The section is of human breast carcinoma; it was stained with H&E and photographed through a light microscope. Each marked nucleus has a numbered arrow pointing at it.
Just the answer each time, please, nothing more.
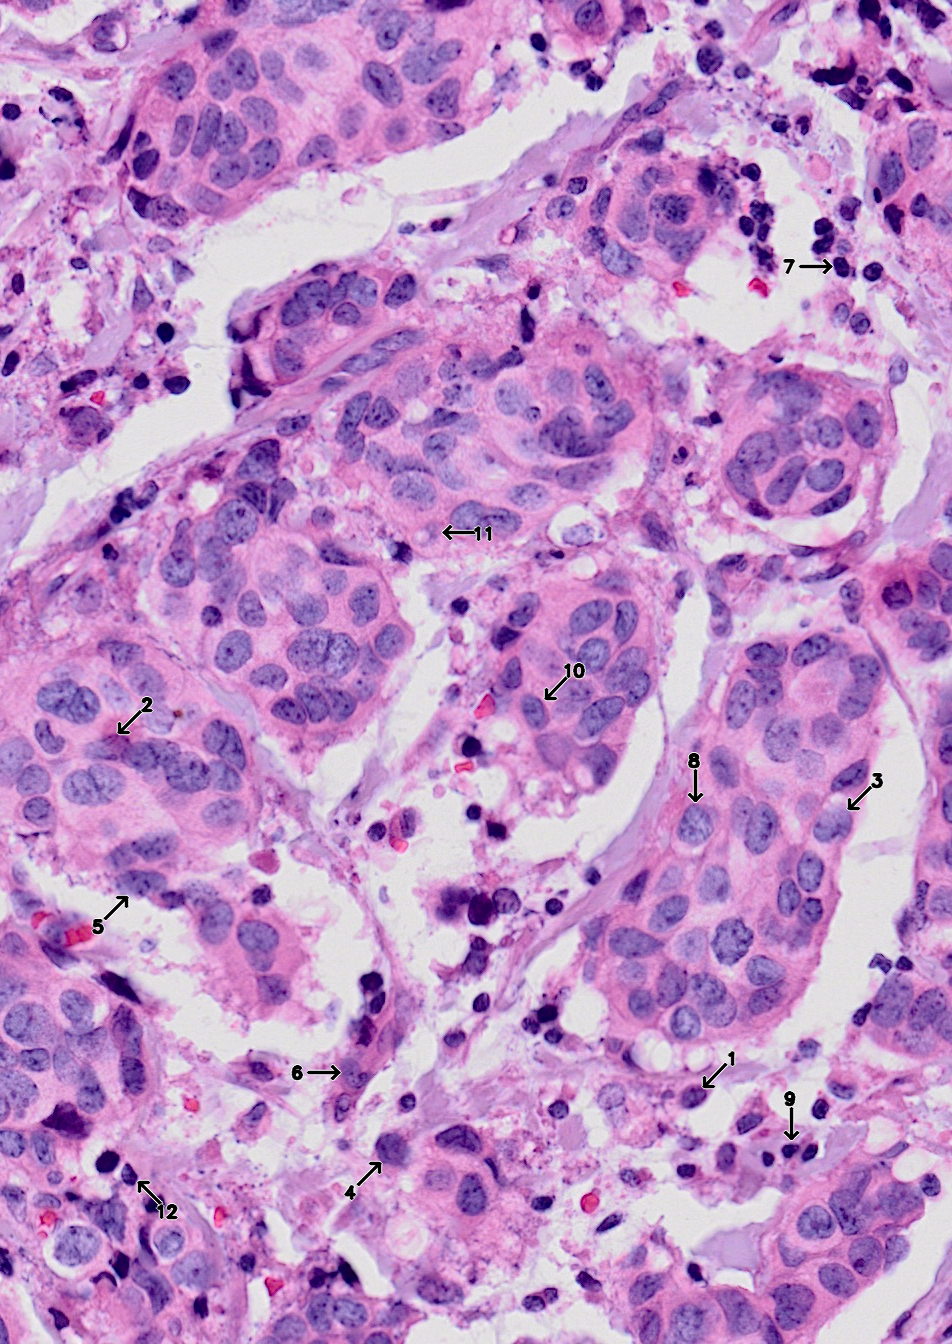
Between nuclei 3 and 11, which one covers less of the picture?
11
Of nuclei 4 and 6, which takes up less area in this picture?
6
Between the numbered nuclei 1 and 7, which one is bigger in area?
1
